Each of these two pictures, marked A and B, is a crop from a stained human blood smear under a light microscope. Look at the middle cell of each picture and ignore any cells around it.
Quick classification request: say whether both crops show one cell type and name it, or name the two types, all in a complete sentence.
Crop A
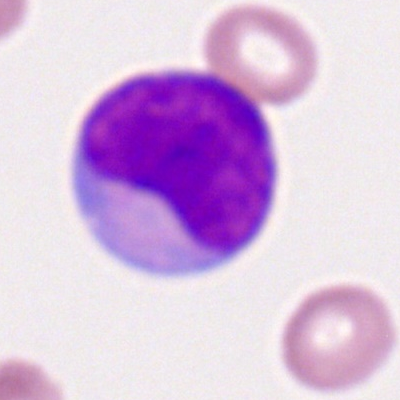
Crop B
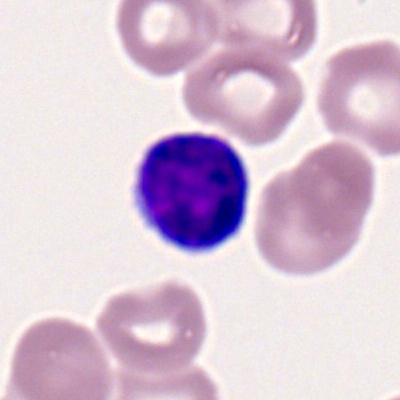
No, sorry, crop A shows a myeloblast and crop B shows a lymphocyte.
